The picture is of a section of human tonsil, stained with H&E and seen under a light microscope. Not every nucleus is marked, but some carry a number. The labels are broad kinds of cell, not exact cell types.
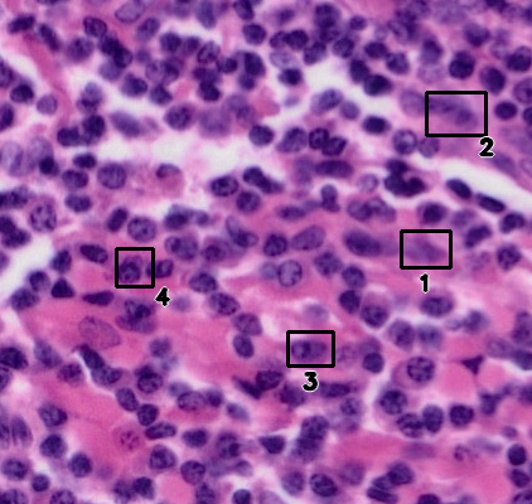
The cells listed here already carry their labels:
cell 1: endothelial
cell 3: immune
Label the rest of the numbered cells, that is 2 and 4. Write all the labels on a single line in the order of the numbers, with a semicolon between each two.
endothelial; immune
